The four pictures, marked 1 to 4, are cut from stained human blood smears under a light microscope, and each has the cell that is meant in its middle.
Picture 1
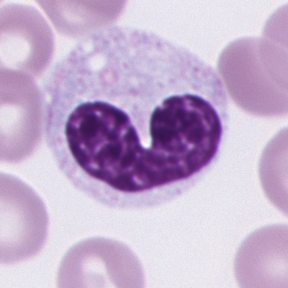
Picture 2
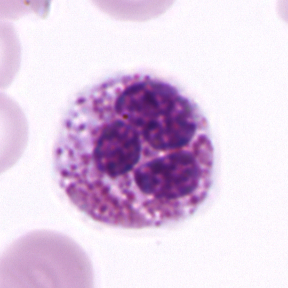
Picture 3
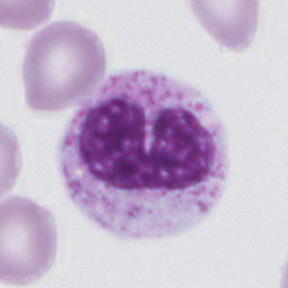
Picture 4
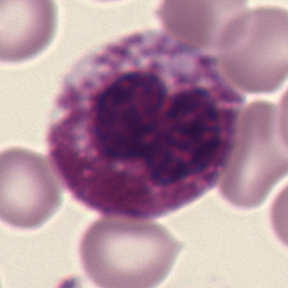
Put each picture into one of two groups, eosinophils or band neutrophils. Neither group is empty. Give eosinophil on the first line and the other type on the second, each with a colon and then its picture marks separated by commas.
eosinophil: 2, 4
band neutrophil: 1, 3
